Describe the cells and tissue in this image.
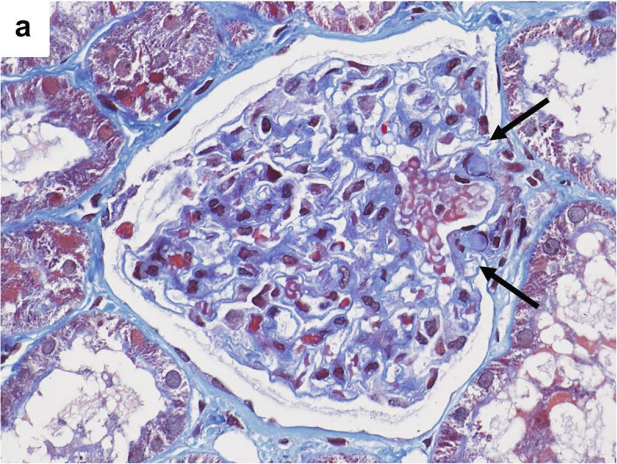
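A single glomerulus lies in a clear Bowman space, surrounded by renal tubules whose cytoplasm stains red to purple and whose interstitium is blue. The capillary tuft shows many dark nuclei in a blue-stained mesangial matrix, with red blood cells crowded in some loops toward one side. At the edge of the tuft near where vessels enter, small rounded homogeneous blue deposits without cells inside stand out. Bowman capsule and the surrounding interstitium are outlined in blue.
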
